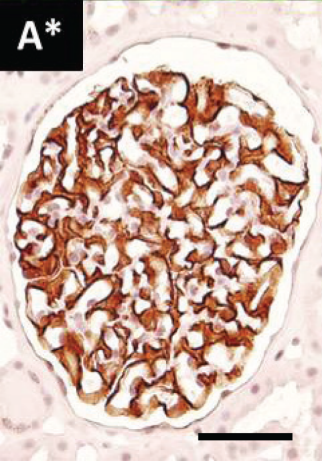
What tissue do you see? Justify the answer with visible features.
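A round tuft of open capillary loops sits inside a thin capsule with a clear space around it. Brown stain lines the capillary loops evenly across the whole tuft. Surrounding tubules are unstained. The answer: normal glomerulus.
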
